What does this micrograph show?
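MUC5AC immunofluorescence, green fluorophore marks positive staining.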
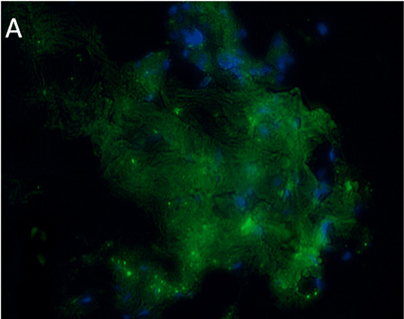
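Green fluorescence fills the cytoplasm of most cells, and small bright green dots are scattered through the cluster. Oval blue nuclei appear among the green cells, some partly masked by the overlying signal. Around the cluster the background is dark, with only a few faint green strands at the edges, so the stained sheet stands out sharply from its surroundings.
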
